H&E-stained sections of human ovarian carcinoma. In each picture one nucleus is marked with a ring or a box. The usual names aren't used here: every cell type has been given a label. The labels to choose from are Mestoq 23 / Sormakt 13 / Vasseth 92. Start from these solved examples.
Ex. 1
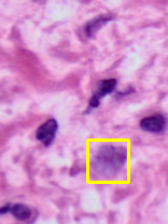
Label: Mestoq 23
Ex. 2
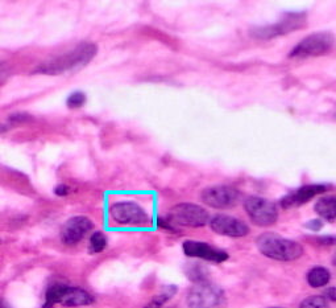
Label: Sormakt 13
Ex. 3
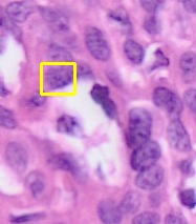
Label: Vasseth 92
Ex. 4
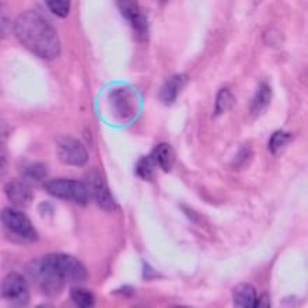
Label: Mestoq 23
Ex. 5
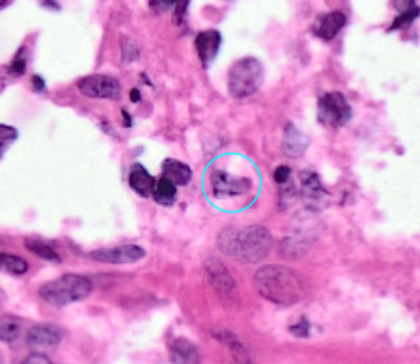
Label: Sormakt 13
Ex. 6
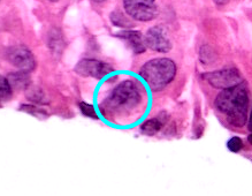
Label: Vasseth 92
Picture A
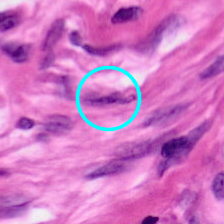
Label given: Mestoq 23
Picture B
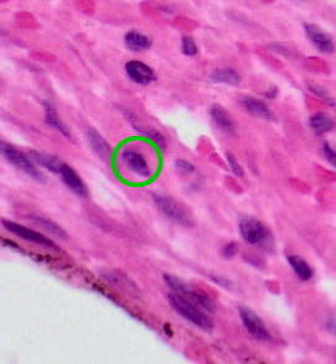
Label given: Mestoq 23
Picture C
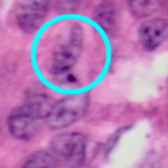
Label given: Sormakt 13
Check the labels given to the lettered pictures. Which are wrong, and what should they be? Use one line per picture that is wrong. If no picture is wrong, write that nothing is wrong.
No label is wrong.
